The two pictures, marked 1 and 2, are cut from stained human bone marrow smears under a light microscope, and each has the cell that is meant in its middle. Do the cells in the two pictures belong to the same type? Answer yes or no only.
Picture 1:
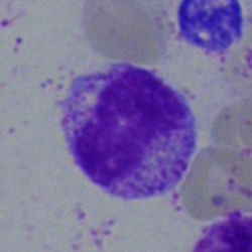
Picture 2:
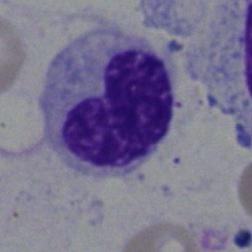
no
